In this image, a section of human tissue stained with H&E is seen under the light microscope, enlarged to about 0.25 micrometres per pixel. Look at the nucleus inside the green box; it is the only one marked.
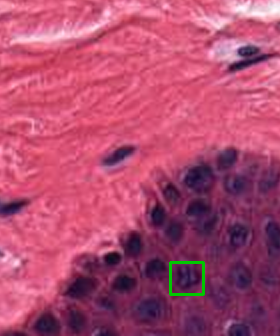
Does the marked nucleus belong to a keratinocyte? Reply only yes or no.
yes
